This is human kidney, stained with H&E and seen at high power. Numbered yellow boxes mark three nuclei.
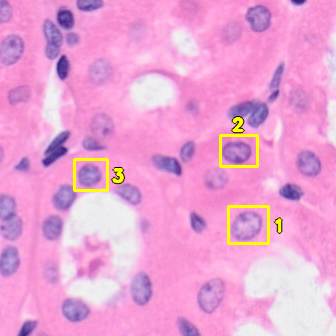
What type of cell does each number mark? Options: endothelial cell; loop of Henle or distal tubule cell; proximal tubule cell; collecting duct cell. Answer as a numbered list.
1. proximal tubule cell
2. proximal tubule cell
3. loop of Henle or distal tubule cell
